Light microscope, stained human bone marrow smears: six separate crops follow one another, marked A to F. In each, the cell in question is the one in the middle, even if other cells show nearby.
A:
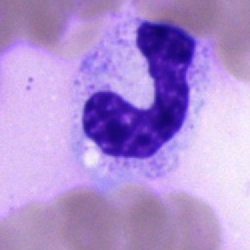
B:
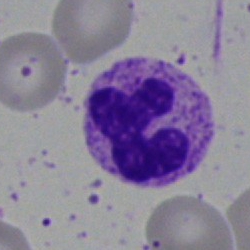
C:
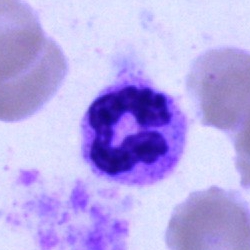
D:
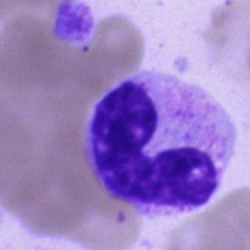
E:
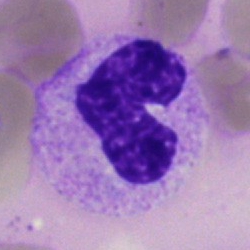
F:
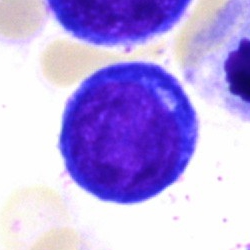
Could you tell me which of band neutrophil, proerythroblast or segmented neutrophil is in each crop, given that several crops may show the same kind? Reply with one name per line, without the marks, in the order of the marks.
band neutrophil
segmented neutrophil
segmented neutrophil
band neutrophil
band neutrophil
proerythroblast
